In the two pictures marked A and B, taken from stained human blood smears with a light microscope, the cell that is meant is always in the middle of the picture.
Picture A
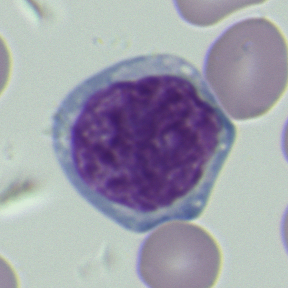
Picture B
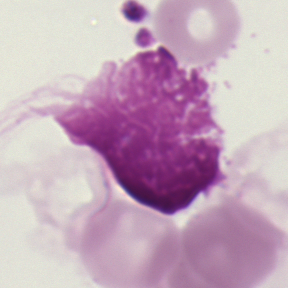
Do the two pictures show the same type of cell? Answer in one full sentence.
No, the types are not the same, since picture A shows a myeloblast and picture B a smudge cell.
